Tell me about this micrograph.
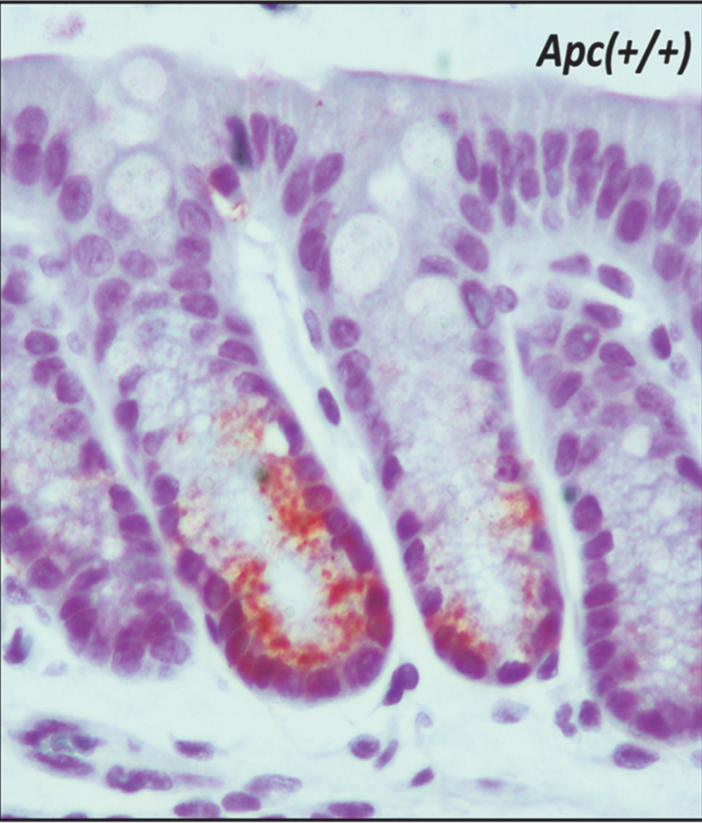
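This is normal colonic mucosa cut lengthwise through several crypts lined by a single layer of columnar epithelial cells. Many pale, rounded goblet cells with clear mucin-filled cytoplasm lie along the crypt walls, between cells with oval purple nuclei placed toward the base. A granular reddish-brown stain is seen only in the cytoplasm of cells at the bottoms of the crypts, while the upper crypt and the surface are unstained. Loose connective tissue with scattered nuclei lies between and beneath the crypts.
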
